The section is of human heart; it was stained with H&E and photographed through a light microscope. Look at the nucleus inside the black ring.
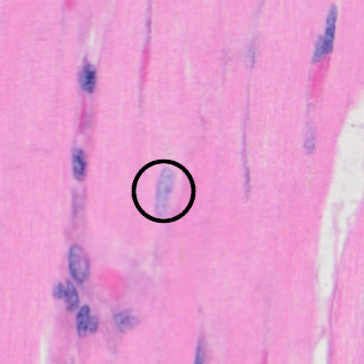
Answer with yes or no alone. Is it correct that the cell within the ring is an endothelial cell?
no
